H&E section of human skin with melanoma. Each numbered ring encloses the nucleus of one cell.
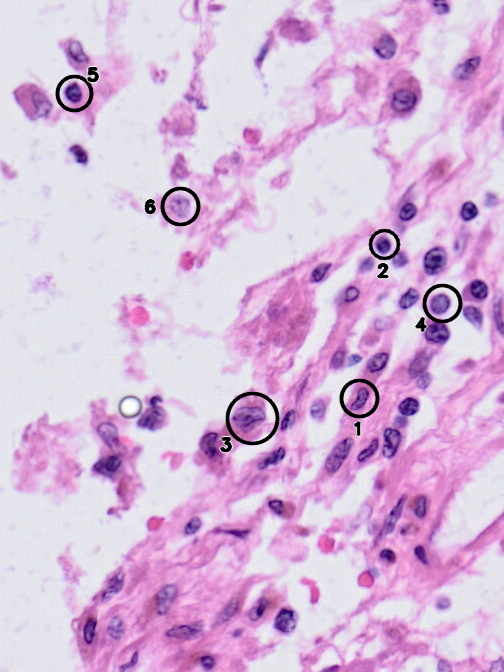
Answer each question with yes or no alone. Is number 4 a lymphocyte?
yes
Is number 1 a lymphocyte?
no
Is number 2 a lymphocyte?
yes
